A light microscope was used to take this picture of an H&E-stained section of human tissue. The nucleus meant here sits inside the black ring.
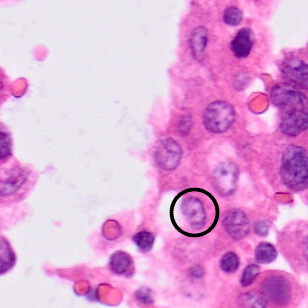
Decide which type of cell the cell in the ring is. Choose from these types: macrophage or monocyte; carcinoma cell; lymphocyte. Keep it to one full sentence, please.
As a matter of cell type, the cell in the ring is a macrophage or monocyte.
